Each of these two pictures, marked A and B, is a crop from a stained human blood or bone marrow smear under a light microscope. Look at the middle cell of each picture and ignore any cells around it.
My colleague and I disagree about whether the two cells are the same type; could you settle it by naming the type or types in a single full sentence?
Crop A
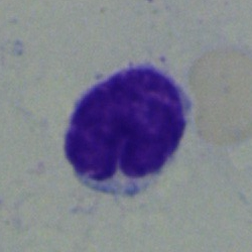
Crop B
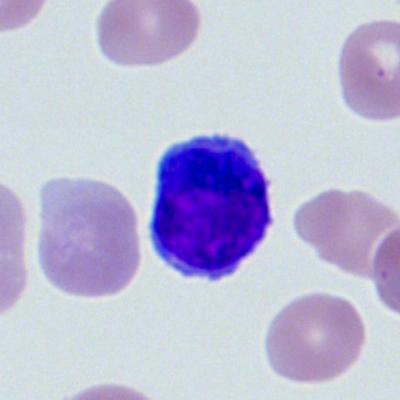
Yes, in both crops, lymphocytes are the cells at the middle.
